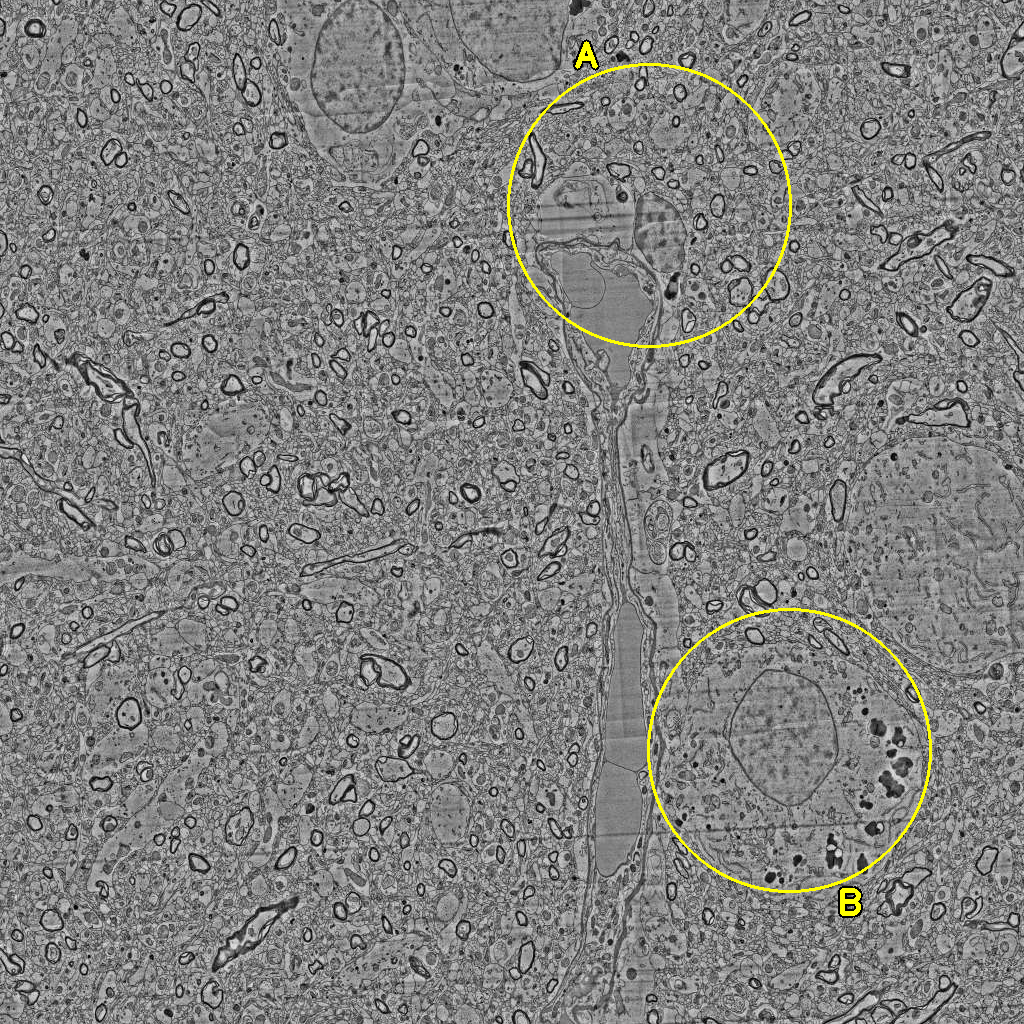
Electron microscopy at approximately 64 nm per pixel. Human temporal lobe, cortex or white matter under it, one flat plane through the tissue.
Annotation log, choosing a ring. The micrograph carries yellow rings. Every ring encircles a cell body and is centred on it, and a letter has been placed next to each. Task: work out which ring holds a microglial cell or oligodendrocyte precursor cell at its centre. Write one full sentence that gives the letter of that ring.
In the micrograph, the ring centred on the cell asked for carries the letter A.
